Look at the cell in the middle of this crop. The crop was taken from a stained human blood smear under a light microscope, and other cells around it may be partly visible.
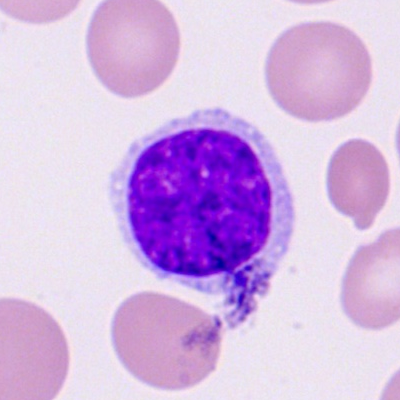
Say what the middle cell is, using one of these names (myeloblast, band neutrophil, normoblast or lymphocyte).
lymphocyte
